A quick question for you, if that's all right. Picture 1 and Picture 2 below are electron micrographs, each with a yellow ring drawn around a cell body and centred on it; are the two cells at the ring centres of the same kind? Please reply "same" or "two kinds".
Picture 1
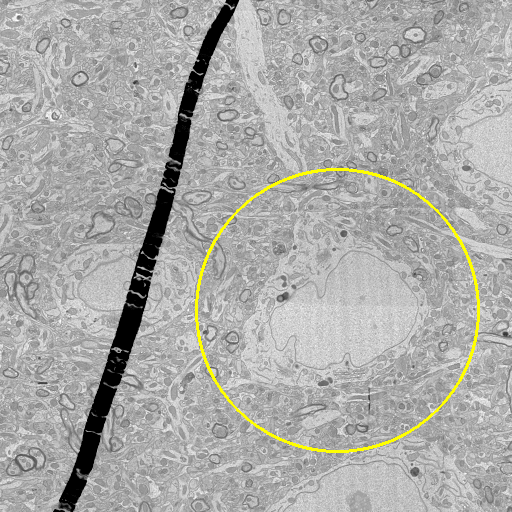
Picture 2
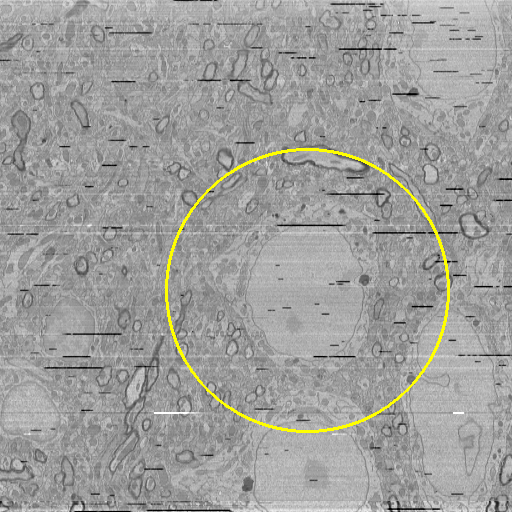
same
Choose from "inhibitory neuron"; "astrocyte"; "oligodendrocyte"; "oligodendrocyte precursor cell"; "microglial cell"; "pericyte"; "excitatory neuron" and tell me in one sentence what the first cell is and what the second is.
Each of the two rings surrounds an excitatory neuron.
